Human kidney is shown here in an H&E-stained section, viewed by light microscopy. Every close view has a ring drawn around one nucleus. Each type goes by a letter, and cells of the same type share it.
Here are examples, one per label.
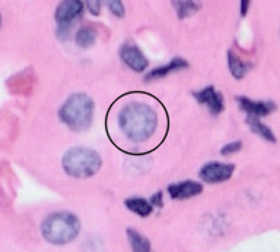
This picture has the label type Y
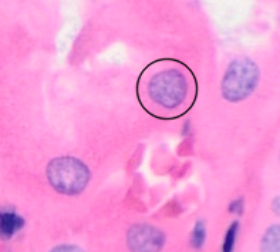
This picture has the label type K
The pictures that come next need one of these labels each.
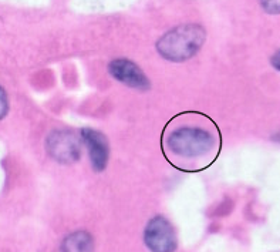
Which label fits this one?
type Y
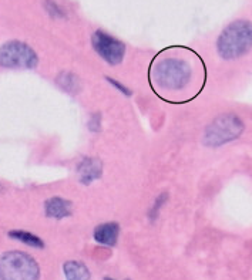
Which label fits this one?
type Y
